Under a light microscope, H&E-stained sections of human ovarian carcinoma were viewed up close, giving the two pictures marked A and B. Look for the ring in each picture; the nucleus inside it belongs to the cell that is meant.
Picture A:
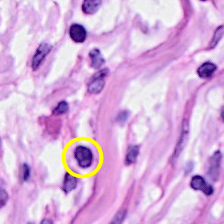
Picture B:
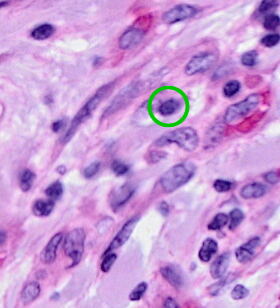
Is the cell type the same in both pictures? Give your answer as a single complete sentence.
Yes, they are the same type: both are lymphocytes.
